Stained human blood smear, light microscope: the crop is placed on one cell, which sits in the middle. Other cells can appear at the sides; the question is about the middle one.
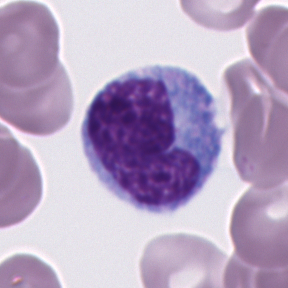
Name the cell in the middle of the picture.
monocyte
